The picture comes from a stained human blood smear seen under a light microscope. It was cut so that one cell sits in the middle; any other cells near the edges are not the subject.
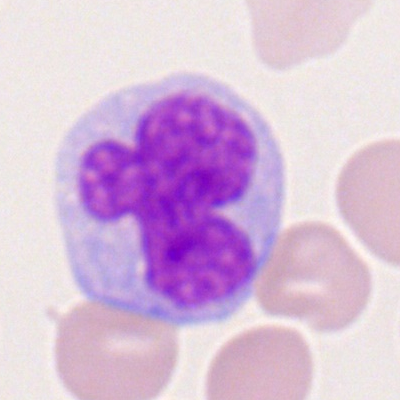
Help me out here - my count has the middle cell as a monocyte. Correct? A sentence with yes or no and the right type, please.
Yes, the middle cell is properly termed a monocyte.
